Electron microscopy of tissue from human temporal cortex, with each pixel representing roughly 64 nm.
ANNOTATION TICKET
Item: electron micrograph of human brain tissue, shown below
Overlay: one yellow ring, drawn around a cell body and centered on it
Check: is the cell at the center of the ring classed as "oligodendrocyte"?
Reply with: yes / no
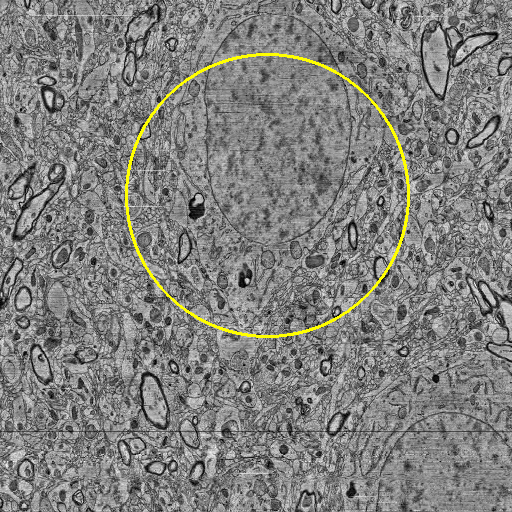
no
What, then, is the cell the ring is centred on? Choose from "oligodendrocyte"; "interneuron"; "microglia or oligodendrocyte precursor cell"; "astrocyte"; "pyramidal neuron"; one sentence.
It is a pyramidal neuron at the centre of the ring.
